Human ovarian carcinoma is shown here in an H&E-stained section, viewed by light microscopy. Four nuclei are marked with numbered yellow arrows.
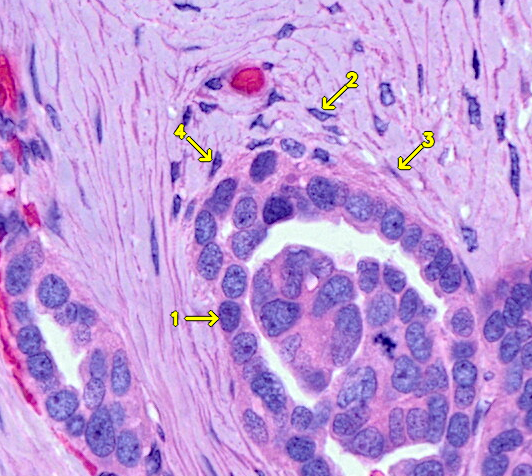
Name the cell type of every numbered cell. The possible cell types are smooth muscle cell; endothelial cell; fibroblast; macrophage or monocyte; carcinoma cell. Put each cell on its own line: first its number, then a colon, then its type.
1: carcinoma cell
2: fibroblast
3: fibroblast
4: fibroblast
